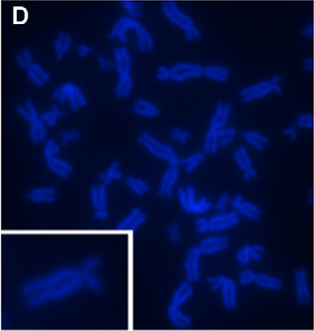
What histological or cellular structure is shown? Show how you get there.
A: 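Many separate condensed chromosomes are scattered over a dark field. No interphase nucleus surrounds the chromosomes.
Hence: mitotic spread.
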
